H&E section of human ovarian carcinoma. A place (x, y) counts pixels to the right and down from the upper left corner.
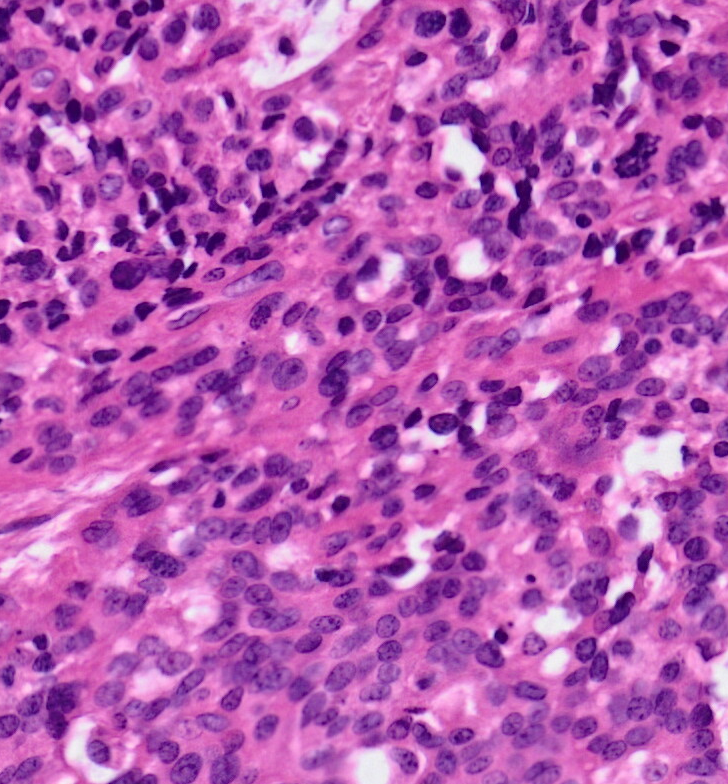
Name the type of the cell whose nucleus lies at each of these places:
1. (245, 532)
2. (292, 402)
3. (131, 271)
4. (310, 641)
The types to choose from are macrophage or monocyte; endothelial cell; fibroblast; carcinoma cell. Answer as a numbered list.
1. carcinoma cell
2. endothelial cell
3. carcinoma cell
4. carcinoma cell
